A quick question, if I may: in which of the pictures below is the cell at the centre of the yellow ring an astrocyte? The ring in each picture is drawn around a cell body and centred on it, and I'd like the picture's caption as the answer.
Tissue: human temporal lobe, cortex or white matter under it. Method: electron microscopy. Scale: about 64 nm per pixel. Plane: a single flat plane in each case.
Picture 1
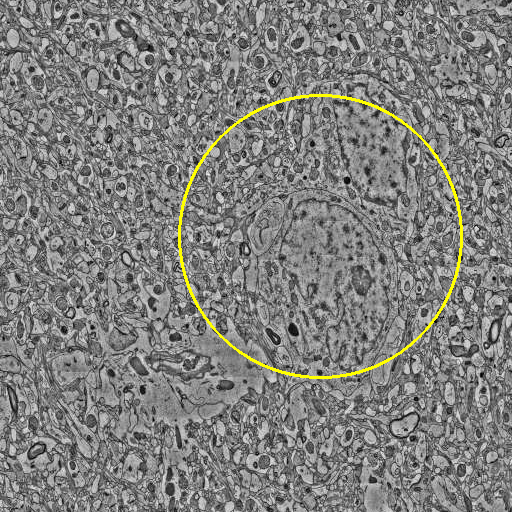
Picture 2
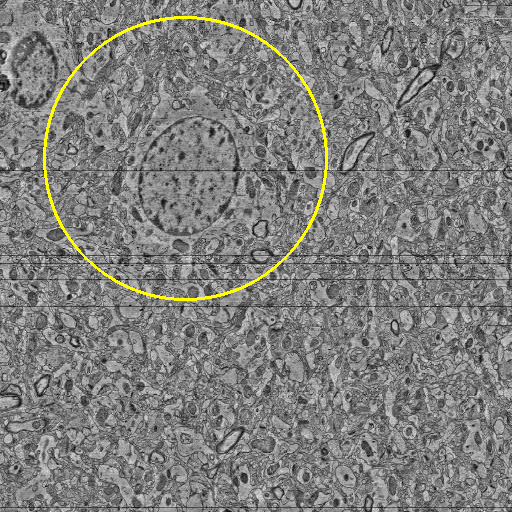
Picture 2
